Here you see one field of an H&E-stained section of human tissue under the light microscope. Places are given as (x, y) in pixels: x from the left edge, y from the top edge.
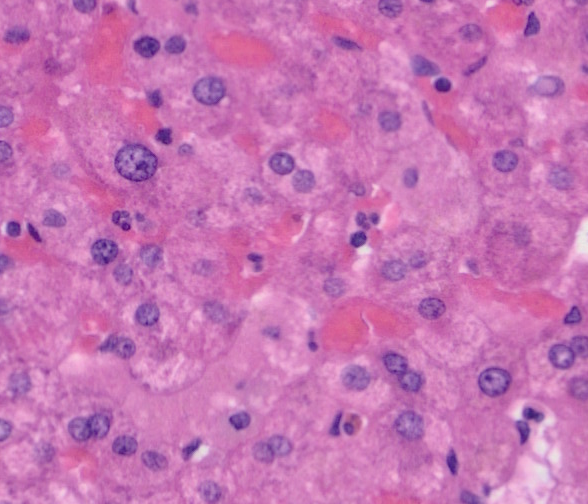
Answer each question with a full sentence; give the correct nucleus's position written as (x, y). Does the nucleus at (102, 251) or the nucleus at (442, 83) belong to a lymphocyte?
Of these two nuclei, it is the one at (442, 83) that belongs to a lymphocyte.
